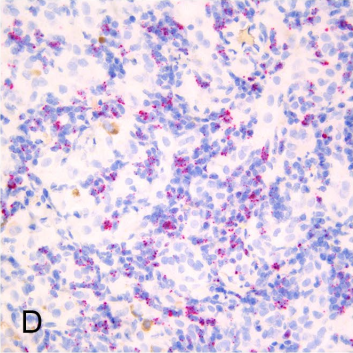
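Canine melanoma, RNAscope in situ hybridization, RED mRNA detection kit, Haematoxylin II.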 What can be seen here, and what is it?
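Clusters of small cells with round, dark blue, dense nuclei and very little surrounding cytoplasm fill much of the field, arranged in irregular cords and groups separated by pale spaces. Red dots and small red clumps sit over many of these small cells, while occasional golden-brown granules are scattered among them. Larger paler nuclei appear here and there between the clusters. The small round dark-nucleated cells with scant cytoplasm, crowded into groups, are small lymphocytes infiltrating the tumour, and they carry much of the red signal.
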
